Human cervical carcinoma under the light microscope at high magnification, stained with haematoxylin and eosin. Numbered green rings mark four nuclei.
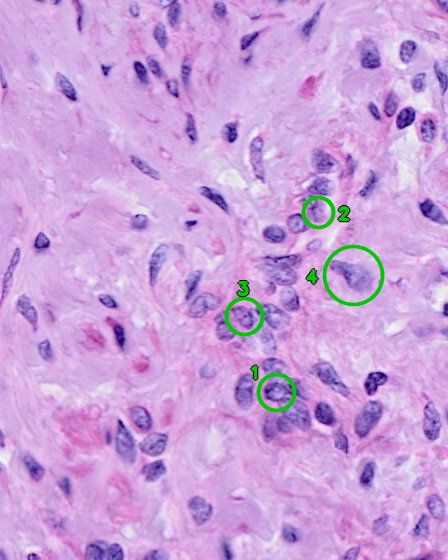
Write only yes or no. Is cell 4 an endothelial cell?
no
